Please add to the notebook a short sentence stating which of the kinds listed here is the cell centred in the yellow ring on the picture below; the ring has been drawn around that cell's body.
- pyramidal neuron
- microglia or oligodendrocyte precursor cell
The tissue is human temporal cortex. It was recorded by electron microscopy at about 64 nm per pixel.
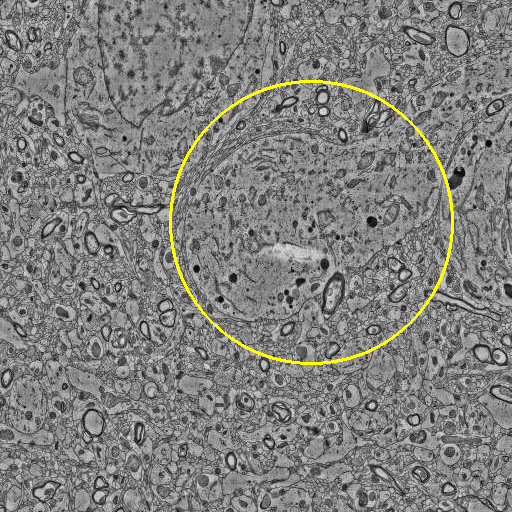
The cell centred in the yellow ring is a pyramidal neuron.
